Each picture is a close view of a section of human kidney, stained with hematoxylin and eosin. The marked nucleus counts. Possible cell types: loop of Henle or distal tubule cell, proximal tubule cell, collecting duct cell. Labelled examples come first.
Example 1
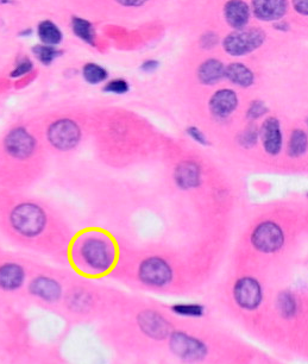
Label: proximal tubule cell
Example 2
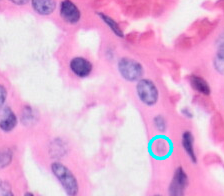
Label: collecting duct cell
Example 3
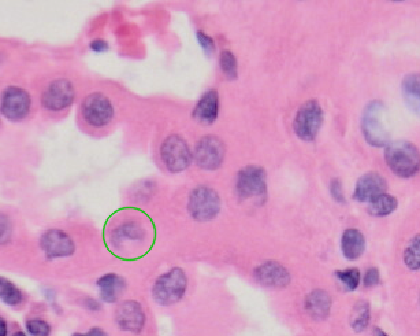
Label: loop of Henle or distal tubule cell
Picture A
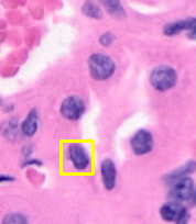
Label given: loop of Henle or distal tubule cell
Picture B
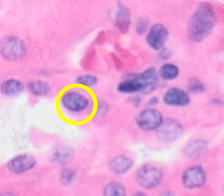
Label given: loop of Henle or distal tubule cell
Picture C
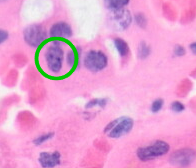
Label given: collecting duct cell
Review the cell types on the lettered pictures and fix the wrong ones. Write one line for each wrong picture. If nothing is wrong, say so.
None of the labels needs changing.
